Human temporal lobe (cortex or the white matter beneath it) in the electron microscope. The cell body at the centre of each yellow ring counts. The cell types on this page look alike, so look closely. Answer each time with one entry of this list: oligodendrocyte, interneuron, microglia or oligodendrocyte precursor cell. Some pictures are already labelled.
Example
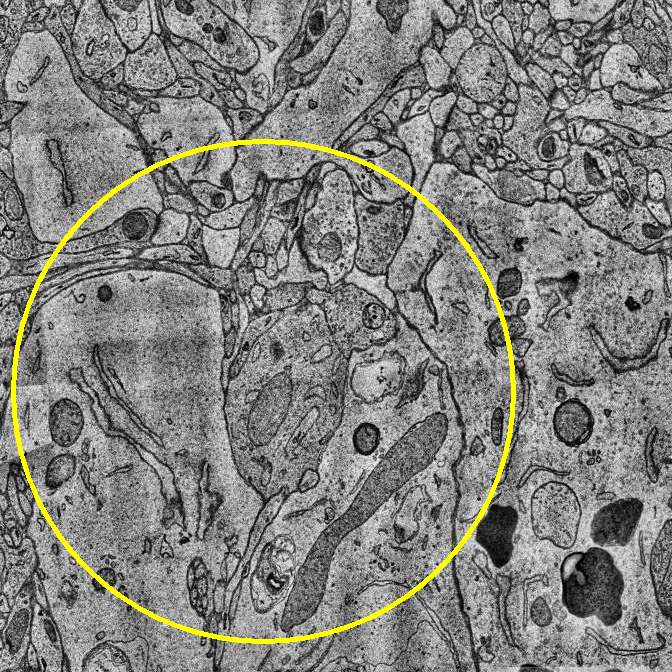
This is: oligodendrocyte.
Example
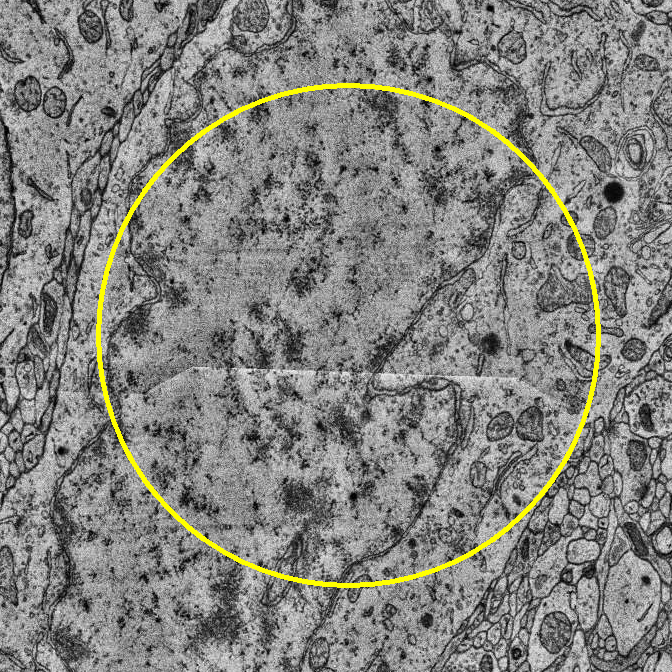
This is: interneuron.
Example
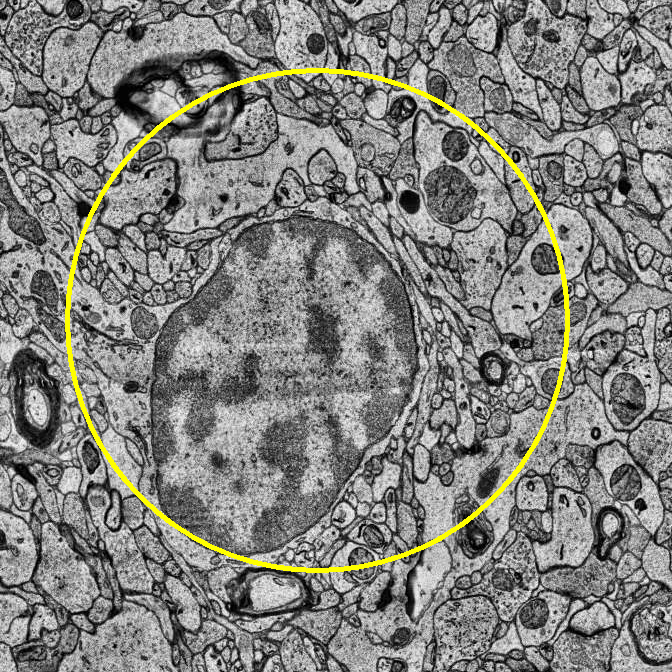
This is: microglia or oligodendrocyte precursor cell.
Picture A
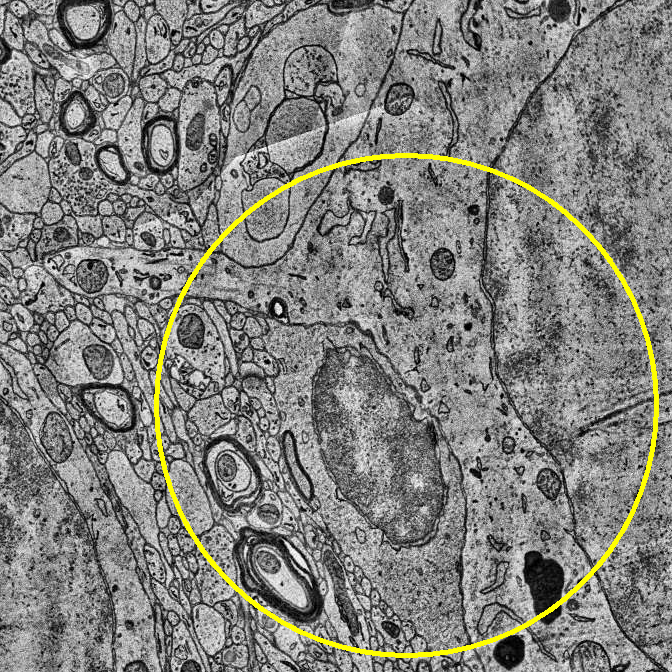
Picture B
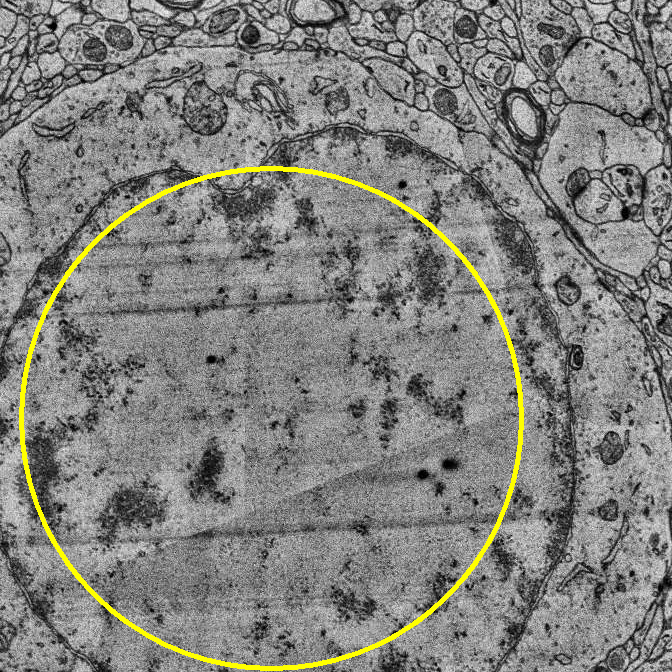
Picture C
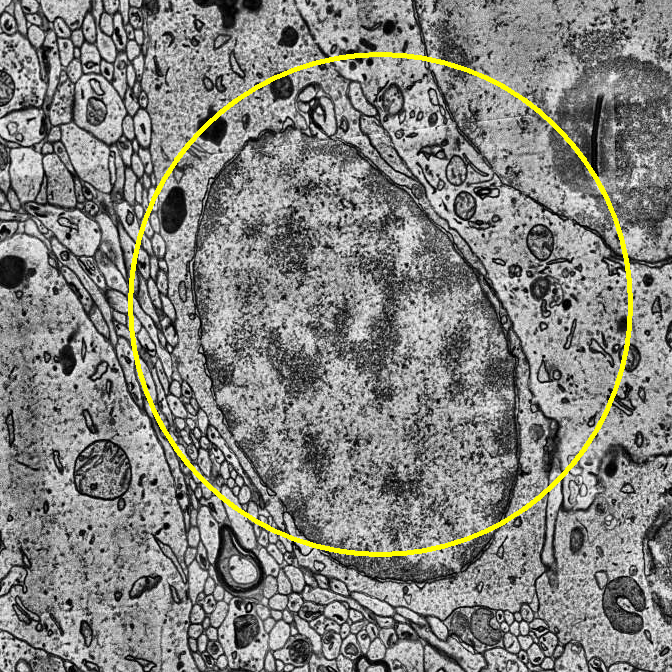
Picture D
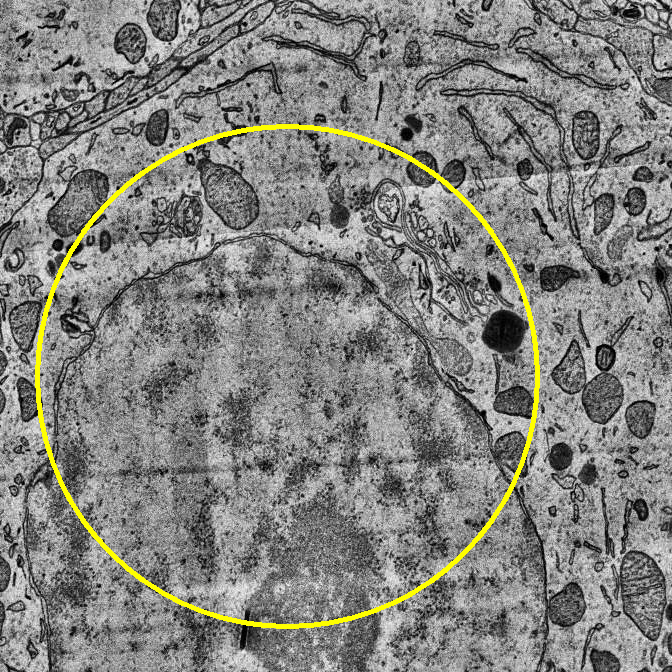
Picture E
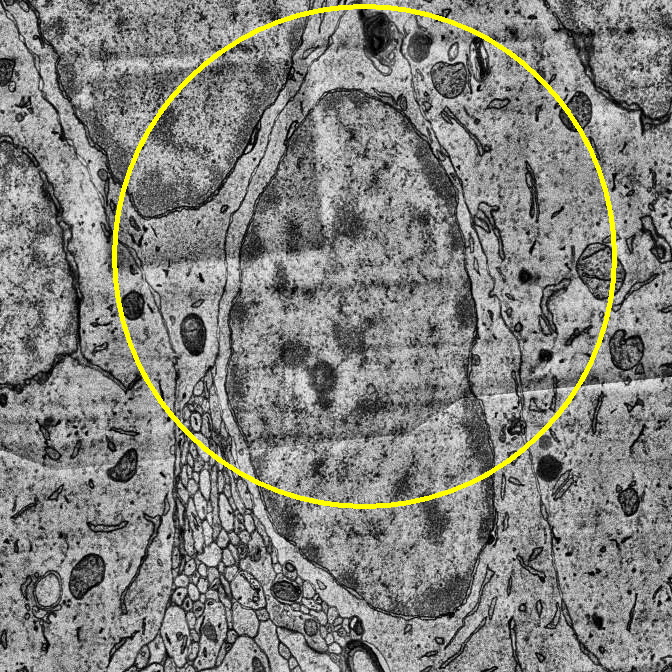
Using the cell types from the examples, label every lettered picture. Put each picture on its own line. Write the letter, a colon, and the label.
A: oligodendrocyte.
B: interneuron.
C: oligodendrocyte.
D: interneuron.
E: microglia or oligodendrocyte precursor cell.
